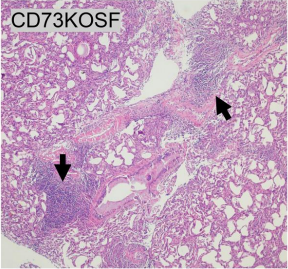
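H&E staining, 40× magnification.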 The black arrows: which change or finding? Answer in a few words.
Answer: lymphocyte infiltration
